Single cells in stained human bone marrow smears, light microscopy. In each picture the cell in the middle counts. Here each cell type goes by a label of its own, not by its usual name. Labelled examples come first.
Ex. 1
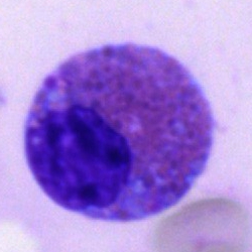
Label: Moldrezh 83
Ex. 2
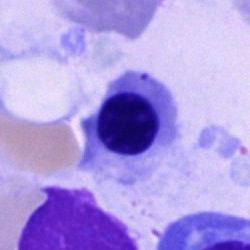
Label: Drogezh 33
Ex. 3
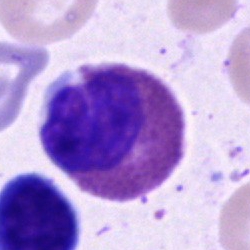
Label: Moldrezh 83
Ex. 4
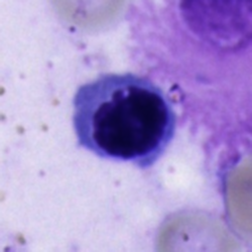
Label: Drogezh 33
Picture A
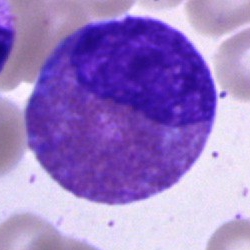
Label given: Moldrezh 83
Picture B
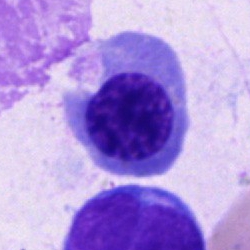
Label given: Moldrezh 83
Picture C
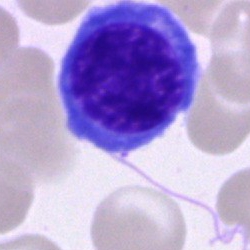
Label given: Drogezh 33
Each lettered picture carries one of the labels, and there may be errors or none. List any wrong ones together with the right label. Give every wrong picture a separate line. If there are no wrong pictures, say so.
B: not Moldrezh 83 but Drogezh 33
